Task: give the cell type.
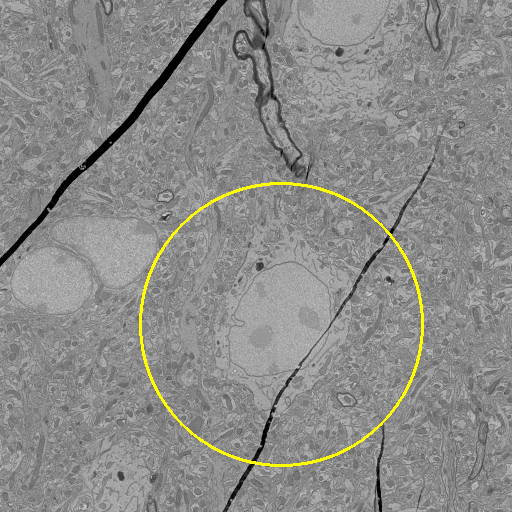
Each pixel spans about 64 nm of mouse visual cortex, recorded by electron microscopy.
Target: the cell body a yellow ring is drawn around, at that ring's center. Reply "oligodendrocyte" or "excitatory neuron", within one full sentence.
In this picture, the cell whose body lies at the ring's center is an excitatory neuron.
